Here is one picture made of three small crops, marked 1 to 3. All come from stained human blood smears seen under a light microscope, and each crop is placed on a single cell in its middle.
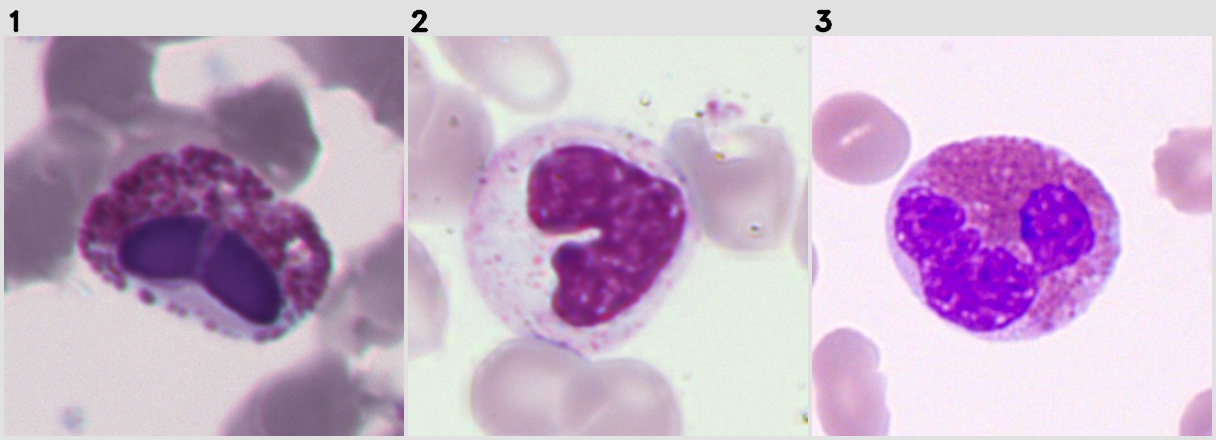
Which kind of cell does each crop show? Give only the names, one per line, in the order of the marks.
eosinophil
band neutrophil
eosinophil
